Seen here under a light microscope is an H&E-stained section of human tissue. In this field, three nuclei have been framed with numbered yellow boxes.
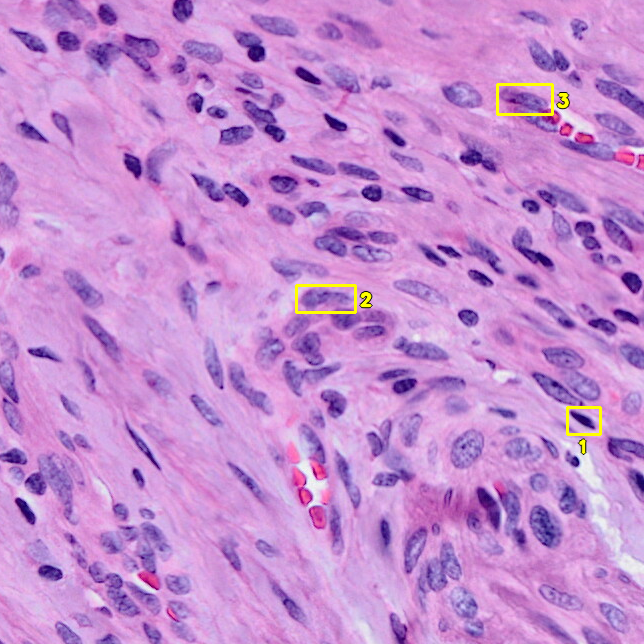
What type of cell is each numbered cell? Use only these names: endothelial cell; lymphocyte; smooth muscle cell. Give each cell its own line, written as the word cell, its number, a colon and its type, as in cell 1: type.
cell 1: lymphocyte
cell 2: smooth muscle cell
cell 3: endothelial cell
